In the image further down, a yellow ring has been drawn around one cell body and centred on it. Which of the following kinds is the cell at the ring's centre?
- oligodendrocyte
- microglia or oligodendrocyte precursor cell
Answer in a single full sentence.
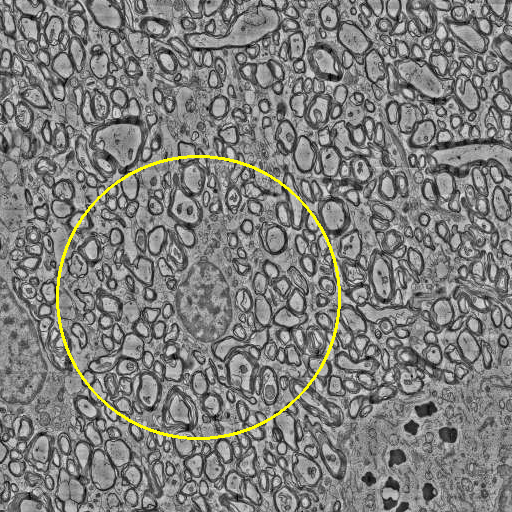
In the picture, the cell sitting at the centre of the yellow ring is an oligodendrocyte.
